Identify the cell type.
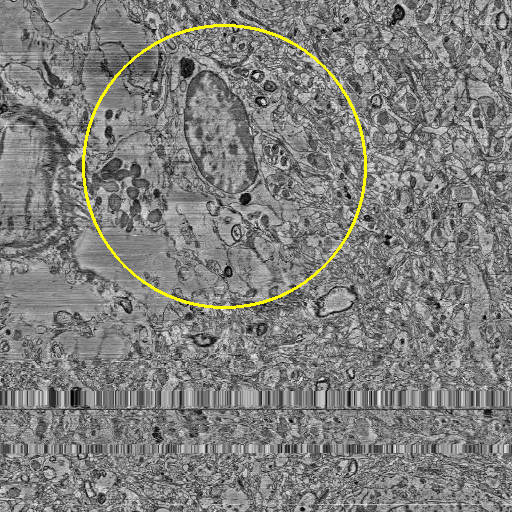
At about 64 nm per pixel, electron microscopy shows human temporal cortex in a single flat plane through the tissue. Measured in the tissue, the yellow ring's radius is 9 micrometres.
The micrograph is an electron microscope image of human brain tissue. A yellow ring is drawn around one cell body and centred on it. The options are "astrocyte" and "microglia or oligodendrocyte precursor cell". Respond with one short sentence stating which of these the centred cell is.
The cell body in the ring belongs to a microglial cell or oligodendrocyte precursor cell.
